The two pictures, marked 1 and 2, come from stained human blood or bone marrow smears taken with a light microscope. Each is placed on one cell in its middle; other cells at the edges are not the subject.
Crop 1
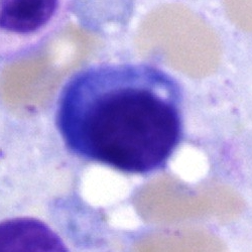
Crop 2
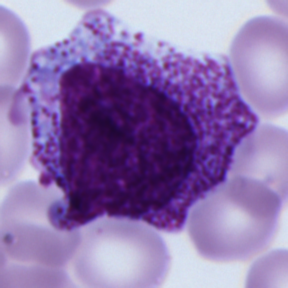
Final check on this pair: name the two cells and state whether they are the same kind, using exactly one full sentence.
No, the cell at the middle of crop 1 is a plasma cell, while crop 2 centres on a promyelocyte.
